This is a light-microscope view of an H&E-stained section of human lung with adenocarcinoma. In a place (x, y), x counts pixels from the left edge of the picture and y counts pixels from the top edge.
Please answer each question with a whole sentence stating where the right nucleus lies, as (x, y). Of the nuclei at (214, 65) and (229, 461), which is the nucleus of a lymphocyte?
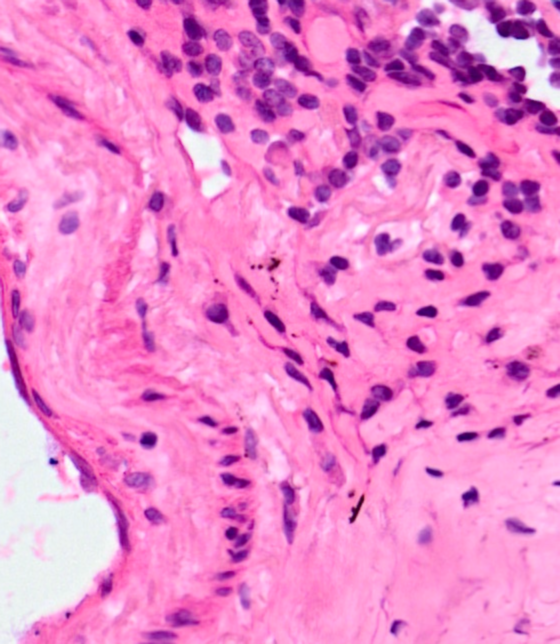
The nucleus positioned at (214, 65) is the one that belongs to a lymphocyte.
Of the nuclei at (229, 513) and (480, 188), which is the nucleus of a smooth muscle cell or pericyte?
Of the two nuclei present, the one at (229, 513) is within a smooth muscle cell or pericyte.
